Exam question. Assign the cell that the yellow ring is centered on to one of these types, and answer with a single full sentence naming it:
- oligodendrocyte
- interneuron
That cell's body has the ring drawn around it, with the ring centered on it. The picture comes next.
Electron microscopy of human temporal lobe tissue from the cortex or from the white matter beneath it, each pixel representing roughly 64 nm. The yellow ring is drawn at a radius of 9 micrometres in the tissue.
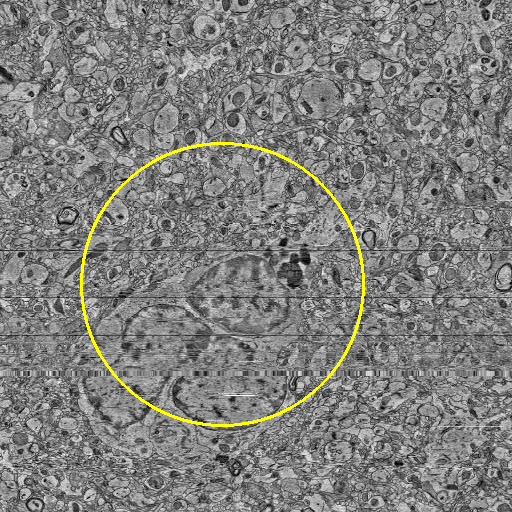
In the micrograph, the cell the yellow ring is centered on is an oligodendrocyte.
